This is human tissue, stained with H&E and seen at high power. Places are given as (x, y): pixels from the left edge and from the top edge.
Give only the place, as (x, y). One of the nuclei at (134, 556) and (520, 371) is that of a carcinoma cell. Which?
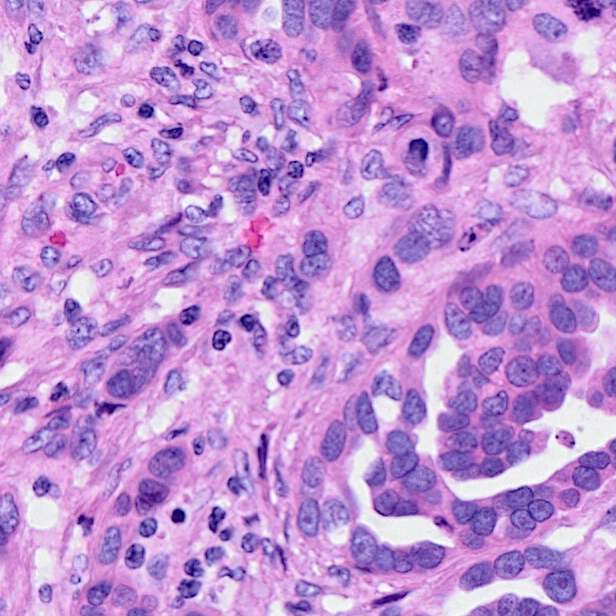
(520, 371)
